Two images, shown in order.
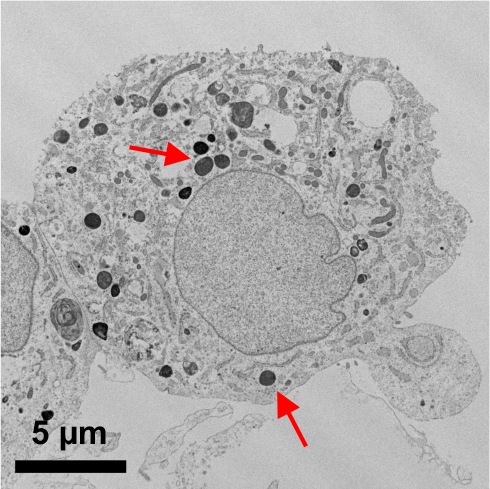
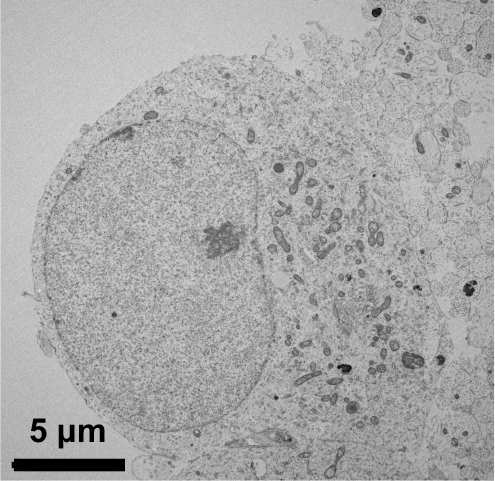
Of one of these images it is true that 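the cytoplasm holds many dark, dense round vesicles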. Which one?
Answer: The first image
